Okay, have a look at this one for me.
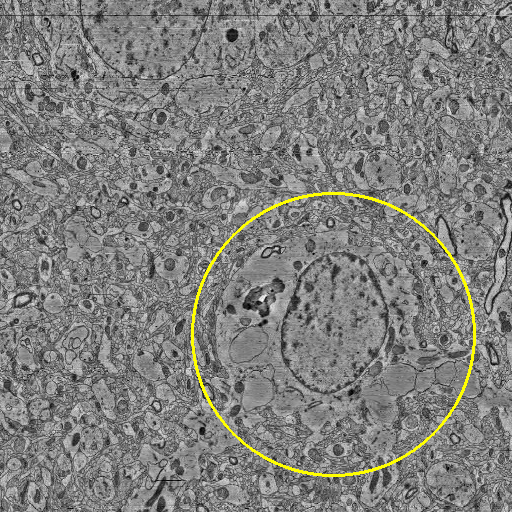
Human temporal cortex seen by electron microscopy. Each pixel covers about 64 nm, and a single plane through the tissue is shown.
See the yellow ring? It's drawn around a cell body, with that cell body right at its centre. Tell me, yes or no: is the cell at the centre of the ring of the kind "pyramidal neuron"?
No, it belongs to another kind.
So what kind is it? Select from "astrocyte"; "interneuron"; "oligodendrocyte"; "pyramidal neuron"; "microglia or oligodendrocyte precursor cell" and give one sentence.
Here, the ring is centred on an astrocyte instead.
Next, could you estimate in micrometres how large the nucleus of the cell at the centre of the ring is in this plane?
The ringed cell's nucleus measures approximately 9 by 7 micrometres in this plane.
